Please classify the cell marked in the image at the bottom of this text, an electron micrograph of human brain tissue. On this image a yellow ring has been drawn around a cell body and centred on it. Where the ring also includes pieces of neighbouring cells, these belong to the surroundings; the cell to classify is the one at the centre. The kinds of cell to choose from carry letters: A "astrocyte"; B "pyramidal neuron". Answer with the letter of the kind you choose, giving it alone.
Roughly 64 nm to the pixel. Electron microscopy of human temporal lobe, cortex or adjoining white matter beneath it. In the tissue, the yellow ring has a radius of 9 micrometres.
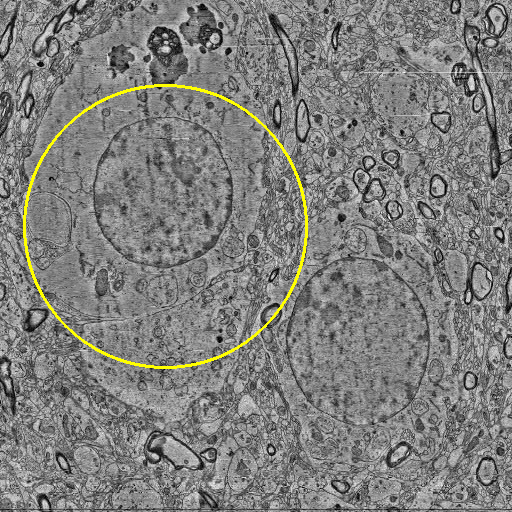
A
